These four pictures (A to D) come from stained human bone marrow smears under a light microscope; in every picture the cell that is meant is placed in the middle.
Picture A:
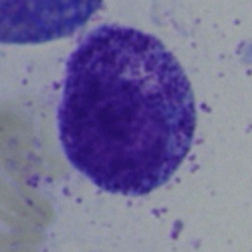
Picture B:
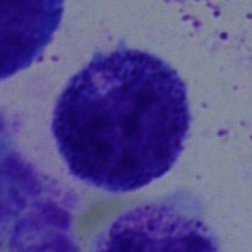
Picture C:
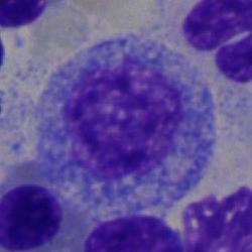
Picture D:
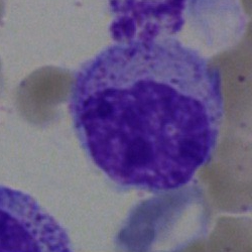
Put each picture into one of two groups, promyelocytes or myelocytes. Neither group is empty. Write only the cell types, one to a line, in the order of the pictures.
myelocyte
promyelocyte
promyelocyte
myelocyte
